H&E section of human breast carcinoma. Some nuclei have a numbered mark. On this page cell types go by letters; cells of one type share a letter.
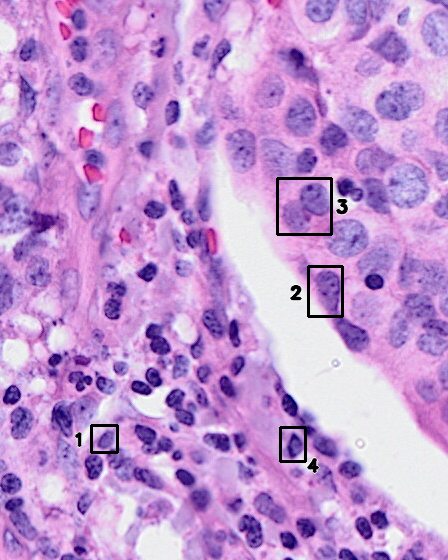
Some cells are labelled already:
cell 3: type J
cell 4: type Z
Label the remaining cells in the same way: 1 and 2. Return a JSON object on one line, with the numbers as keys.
{"1": "type Z", "2": "type J"}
